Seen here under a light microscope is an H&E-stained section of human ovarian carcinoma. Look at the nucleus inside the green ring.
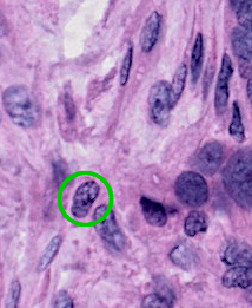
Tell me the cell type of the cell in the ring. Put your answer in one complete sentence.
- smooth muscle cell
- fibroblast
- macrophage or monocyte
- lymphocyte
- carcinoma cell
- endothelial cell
The cell meant here is a macrophage or monocyte.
